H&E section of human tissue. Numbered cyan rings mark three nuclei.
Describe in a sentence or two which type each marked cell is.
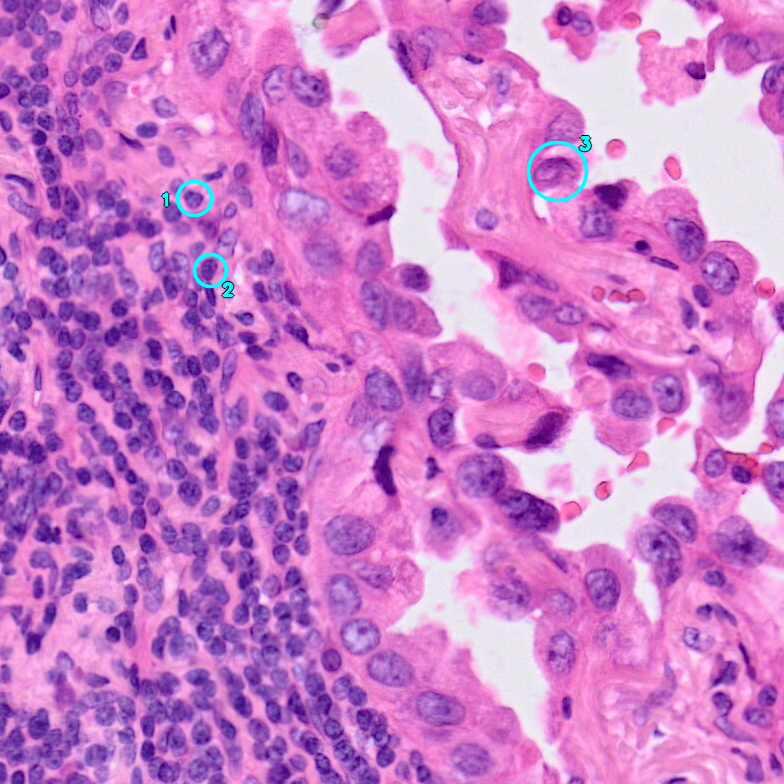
Cells 1 and 2 are lymphocytes. Cell 3 is a carcinoma cell.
